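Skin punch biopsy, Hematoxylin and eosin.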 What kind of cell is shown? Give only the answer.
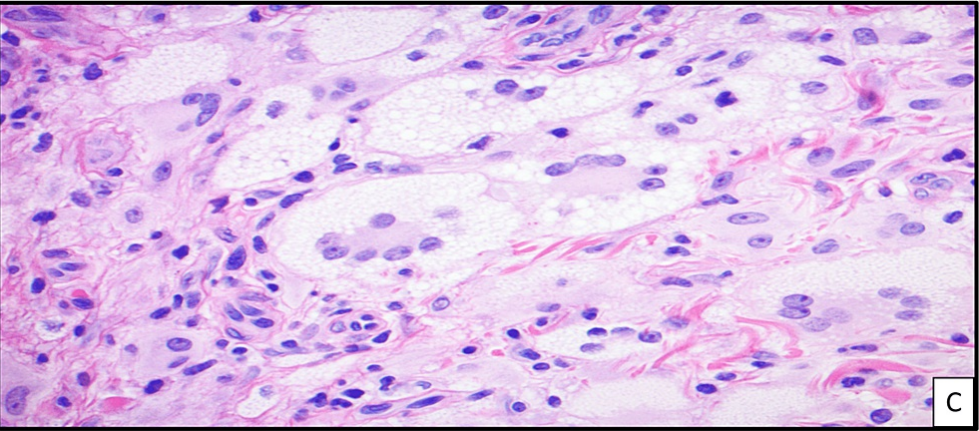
Touton giant cells.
